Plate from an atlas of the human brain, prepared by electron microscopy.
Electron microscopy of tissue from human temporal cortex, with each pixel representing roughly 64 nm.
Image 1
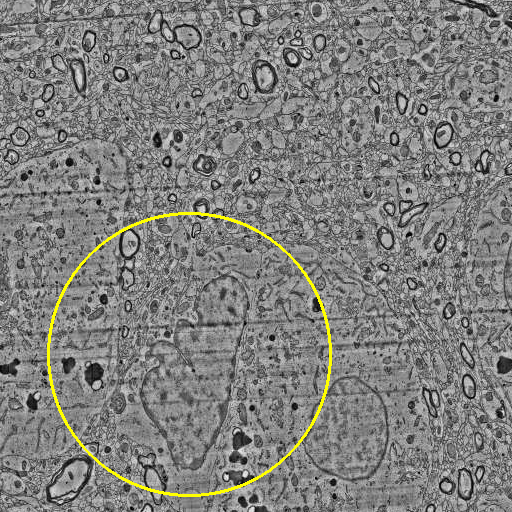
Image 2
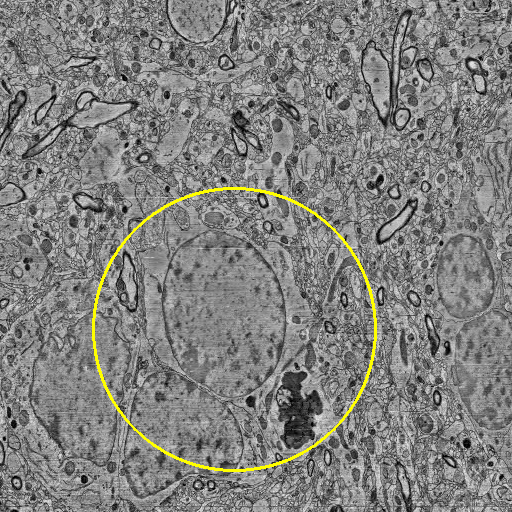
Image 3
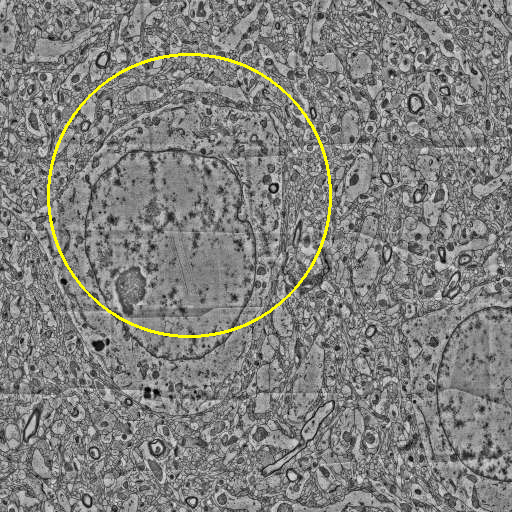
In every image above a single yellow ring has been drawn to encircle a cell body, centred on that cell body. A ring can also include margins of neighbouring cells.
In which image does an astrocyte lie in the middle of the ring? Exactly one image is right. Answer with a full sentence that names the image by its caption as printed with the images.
Image 2 holds the requested cell at the very centre of its ring.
